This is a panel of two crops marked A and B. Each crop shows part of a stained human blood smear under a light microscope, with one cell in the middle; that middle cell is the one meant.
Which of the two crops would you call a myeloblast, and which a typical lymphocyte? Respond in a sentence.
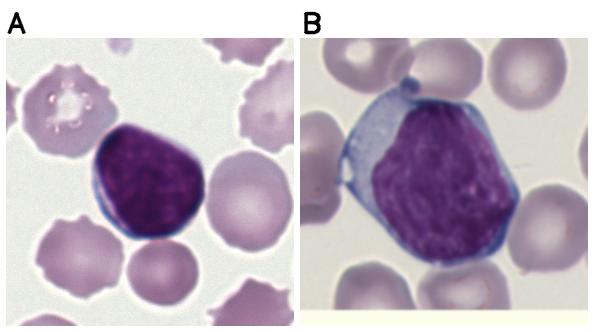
Classification: crop A is a typical lymphocyte, crop B is a myeloblast.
